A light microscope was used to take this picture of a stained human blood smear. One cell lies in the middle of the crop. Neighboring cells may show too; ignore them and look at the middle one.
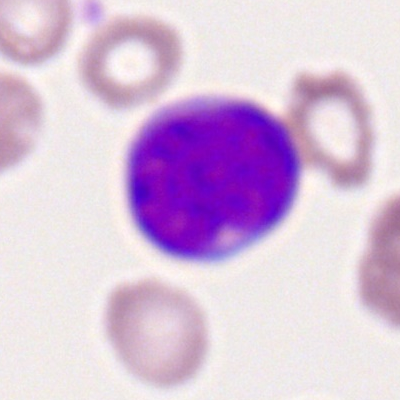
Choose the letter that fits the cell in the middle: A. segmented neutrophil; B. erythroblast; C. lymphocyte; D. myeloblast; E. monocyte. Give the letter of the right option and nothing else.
D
